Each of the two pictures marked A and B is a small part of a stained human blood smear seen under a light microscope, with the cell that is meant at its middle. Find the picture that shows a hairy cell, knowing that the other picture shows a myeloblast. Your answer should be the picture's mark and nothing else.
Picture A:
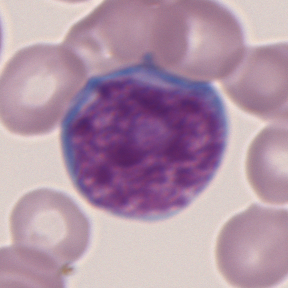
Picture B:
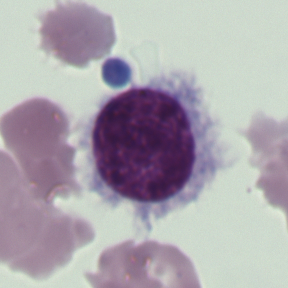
B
